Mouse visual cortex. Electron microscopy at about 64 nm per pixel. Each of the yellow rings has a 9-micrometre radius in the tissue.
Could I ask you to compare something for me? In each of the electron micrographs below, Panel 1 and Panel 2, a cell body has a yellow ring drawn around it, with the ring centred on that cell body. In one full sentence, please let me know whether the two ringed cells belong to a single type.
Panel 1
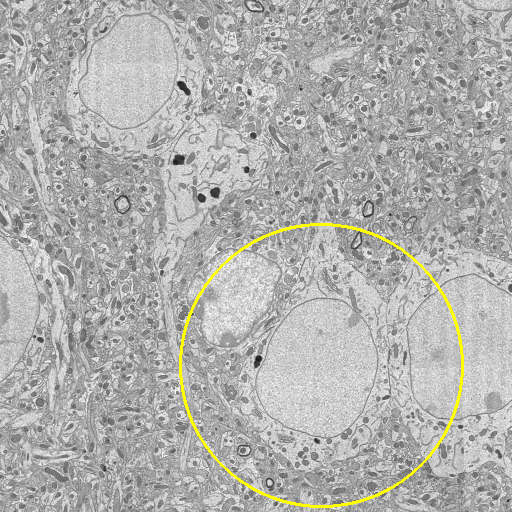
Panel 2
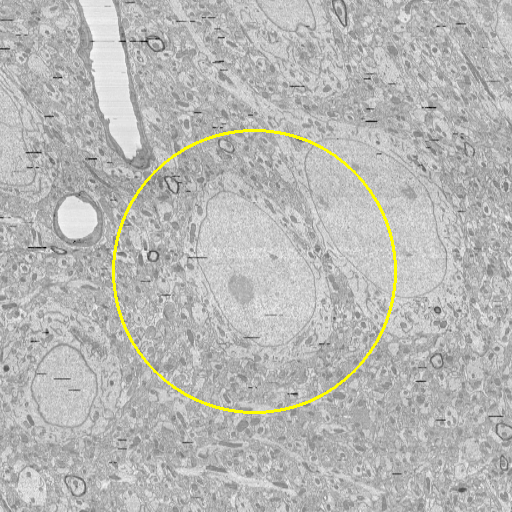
Yes, the two cells at the centres of the rings are of one type.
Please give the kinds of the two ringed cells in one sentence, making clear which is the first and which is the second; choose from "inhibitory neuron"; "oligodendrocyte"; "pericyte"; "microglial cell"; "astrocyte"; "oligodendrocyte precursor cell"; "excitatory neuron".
Each of the two cells is an excitatory neuron.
